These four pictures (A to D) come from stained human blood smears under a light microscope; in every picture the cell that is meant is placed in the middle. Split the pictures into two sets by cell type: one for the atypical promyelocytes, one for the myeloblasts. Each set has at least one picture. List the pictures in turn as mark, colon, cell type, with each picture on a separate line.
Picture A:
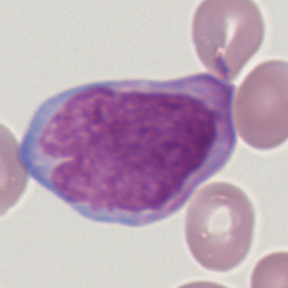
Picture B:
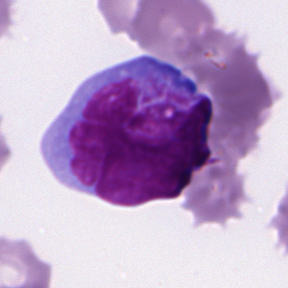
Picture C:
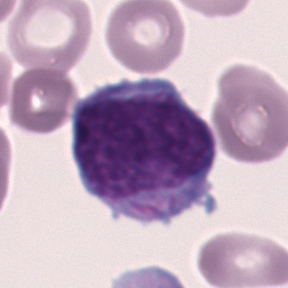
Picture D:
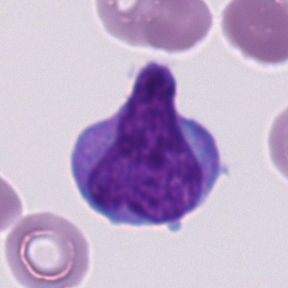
A: atypical promyelocyte
B: myeloblast
C: atypical promyelocyte
D: atypical promyelocyte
